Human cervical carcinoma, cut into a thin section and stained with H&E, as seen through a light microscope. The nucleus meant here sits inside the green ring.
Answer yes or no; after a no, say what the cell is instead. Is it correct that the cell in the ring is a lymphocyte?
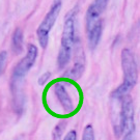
No, it is a smooth muscle cell.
